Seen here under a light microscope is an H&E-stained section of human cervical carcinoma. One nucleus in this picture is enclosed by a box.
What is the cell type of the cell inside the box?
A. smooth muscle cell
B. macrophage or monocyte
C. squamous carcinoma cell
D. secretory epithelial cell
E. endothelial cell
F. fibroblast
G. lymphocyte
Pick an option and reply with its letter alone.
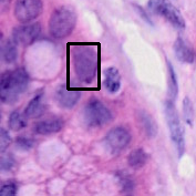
D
